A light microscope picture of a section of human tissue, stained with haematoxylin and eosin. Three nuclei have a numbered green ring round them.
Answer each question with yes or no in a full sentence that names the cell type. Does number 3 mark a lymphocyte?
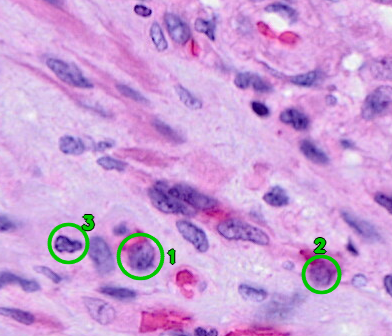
Yes, the cell referred to as number 3 is a lymphocyte.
